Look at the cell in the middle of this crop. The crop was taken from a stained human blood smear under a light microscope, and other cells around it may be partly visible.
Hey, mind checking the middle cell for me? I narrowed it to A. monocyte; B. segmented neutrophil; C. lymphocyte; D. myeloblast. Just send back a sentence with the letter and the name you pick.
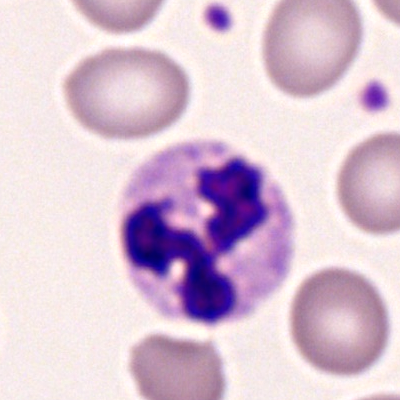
The cell placed in the middle is a segmented neutrophil; option B is correct.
